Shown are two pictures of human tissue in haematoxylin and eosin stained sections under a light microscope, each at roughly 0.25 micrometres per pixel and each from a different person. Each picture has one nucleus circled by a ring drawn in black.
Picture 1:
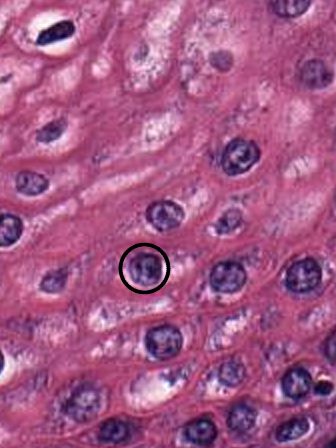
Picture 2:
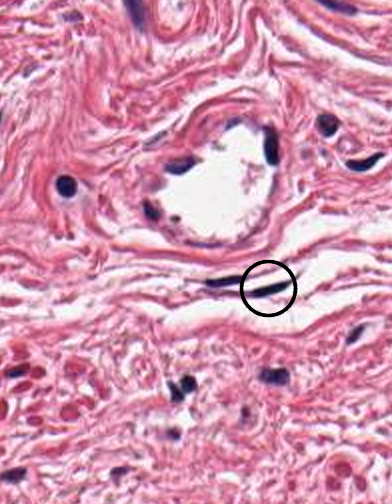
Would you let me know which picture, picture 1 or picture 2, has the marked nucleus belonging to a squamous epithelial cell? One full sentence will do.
As for picture 1, its marked nucleus belongs to a squamous epithelial cell.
